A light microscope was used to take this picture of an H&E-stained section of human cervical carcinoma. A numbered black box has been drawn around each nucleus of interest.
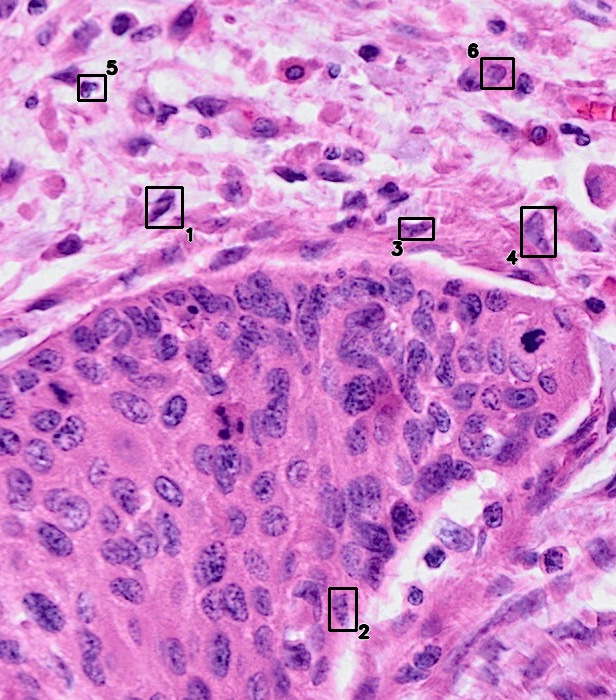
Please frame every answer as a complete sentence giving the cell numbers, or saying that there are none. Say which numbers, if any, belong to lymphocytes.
Only the cell marked 5 is a lymphocyte.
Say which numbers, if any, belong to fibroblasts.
Cells numbered 1, 3 and 4 belong to the group of fibroblasts.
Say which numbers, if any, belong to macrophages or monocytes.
Of the cells carrying numbers, just cell 6 is a macrophage or monocyte.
